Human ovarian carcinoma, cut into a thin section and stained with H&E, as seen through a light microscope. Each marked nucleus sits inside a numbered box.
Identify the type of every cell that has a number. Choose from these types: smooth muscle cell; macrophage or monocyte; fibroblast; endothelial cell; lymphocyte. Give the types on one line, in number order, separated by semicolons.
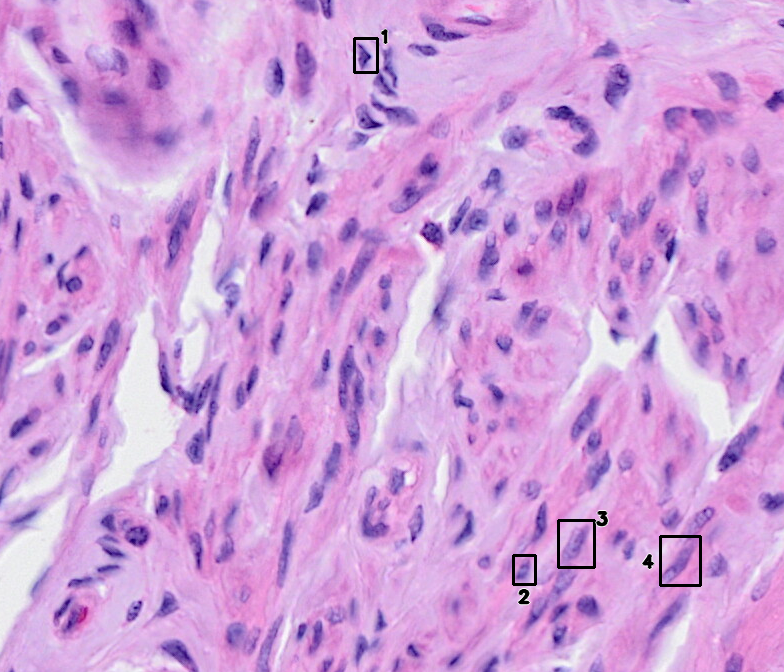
fibroblast; smooth muscle cell; smooth muscle cell; smooth muscle cell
